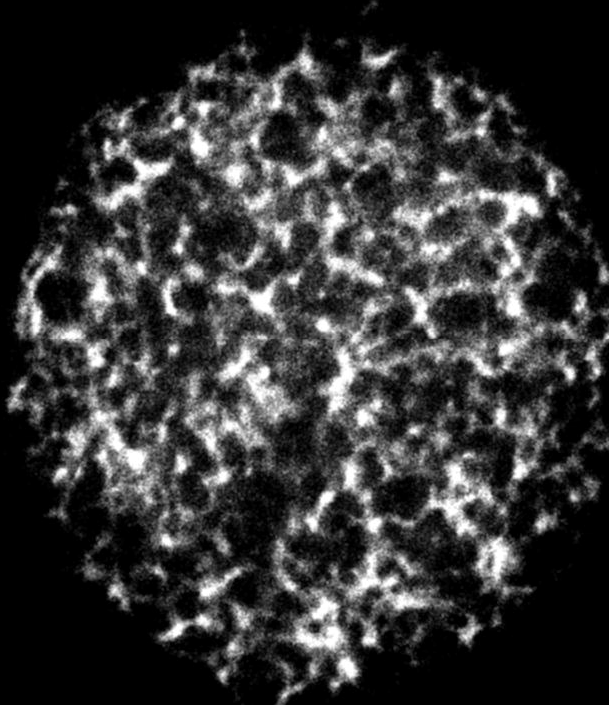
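The chromatin forms a fine, interconnected network of thin bright threads and small bright foci spread throughout the nucleus. Between the threads lie many small dark rounded spaces, giving the whole nucleus a lacy, reticulate appearance. The network reaches up to the edge, where the outline appears slightly irregular and beaded.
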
